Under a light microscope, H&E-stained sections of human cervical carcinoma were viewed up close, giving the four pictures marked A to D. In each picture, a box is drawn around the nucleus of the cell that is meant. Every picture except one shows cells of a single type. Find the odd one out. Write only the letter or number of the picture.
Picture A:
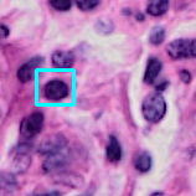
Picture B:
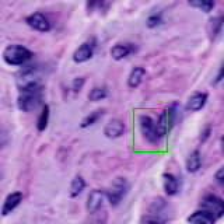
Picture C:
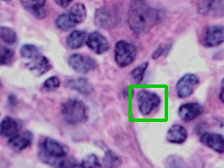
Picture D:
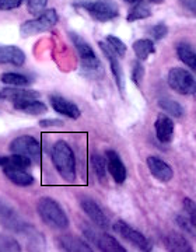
D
